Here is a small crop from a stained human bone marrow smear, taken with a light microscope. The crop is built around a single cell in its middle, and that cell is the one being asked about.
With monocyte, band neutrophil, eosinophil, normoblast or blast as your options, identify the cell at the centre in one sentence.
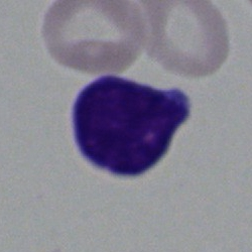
Standing at the centre of this crop is a blast.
